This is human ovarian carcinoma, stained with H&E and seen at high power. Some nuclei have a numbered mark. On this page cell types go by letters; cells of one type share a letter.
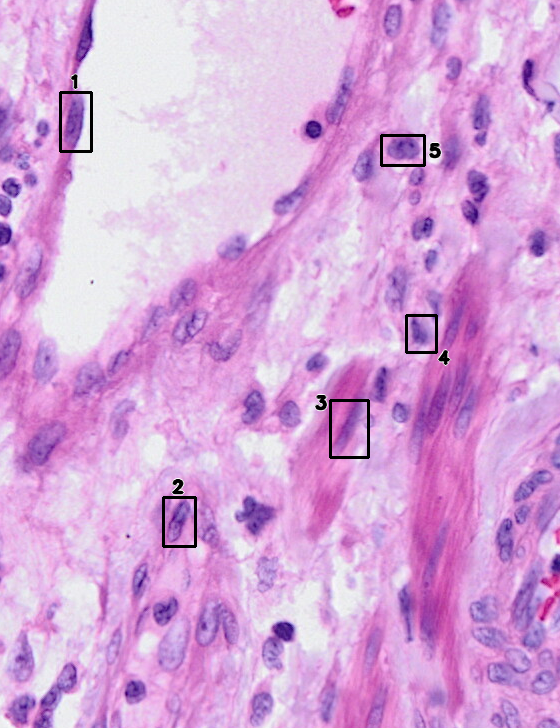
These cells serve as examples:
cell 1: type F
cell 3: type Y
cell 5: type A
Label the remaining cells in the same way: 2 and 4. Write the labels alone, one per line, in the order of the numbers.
type F
type A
